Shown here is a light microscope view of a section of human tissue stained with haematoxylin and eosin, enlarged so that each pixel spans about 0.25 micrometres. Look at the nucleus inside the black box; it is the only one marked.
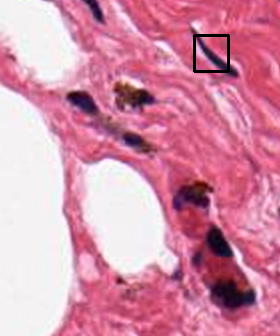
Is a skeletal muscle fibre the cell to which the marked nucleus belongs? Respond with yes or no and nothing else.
no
